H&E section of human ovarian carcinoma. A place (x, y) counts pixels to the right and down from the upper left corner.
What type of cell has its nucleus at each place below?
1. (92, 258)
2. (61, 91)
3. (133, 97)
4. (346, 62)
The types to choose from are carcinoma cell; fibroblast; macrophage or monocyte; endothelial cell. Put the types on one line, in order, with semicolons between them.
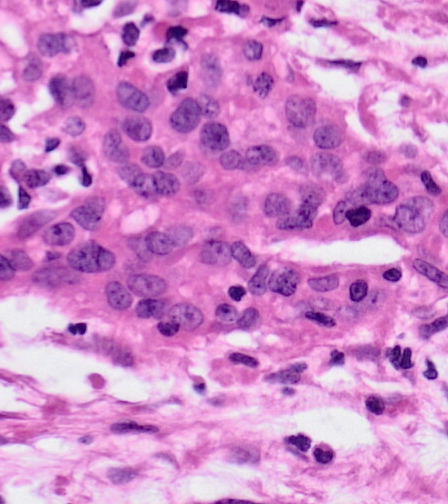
carcinoma cell; carcinoma cell; carcinoma cell; fibroblast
